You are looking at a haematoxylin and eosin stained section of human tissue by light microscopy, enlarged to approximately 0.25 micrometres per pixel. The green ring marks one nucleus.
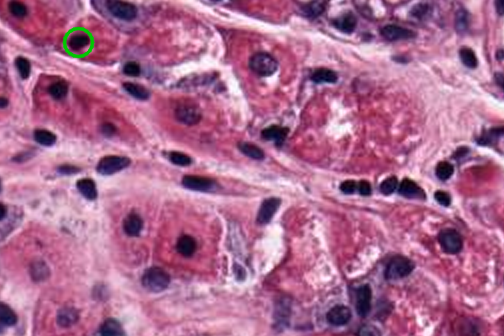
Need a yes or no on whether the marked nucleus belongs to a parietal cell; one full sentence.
Yes, the marked nucleus is part of a parietal cell.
